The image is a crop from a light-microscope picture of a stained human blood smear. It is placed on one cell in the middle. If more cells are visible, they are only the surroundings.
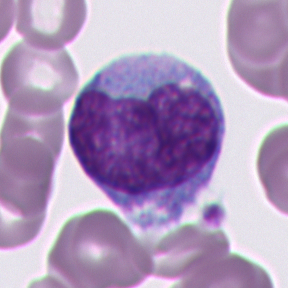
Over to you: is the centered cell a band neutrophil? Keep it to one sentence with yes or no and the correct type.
No, a band neutrophil is not what the central cell is; it is a monocyte.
